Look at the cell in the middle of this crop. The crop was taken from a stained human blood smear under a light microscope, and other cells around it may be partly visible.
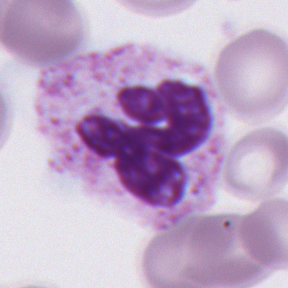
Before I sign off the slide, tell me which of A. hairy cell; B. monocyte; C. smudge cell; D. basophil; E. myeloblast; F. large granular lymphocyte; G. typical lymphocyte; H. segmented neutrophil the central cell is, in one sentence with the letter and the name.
The centrally located cell is a segmented neutrophil, making option H the correct choice.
